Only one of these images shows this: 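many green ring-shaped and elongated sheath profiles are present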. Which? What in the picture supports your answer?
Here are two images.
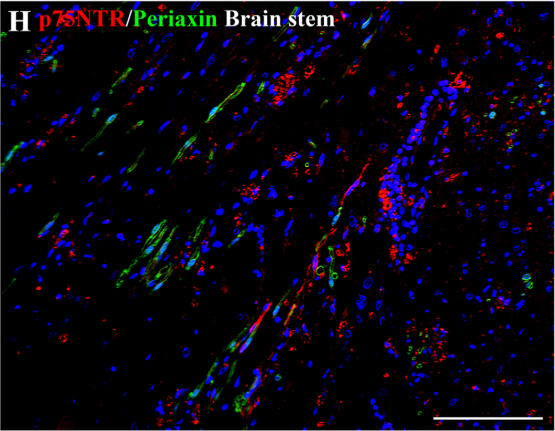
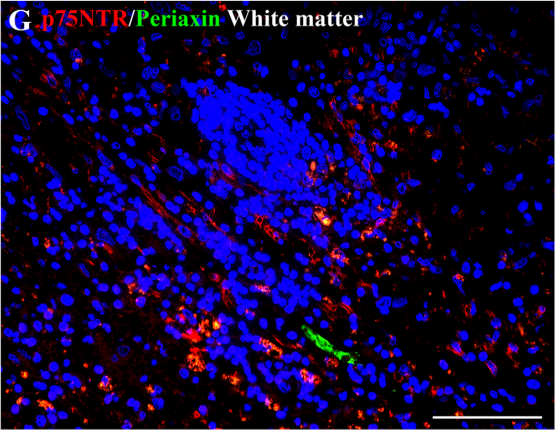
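First image: numerous green elongated and ring-shaped profiles are scattered across the field. That points to this answer: the first image.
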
